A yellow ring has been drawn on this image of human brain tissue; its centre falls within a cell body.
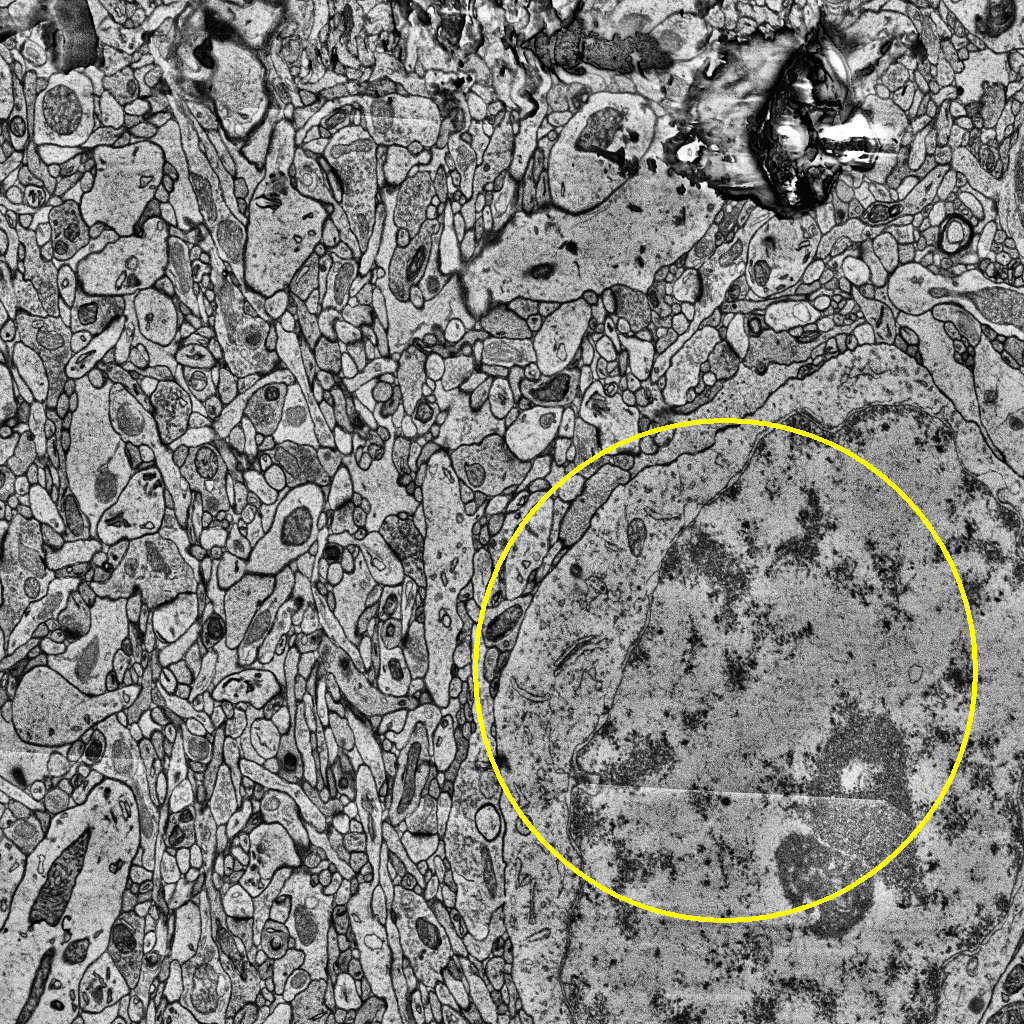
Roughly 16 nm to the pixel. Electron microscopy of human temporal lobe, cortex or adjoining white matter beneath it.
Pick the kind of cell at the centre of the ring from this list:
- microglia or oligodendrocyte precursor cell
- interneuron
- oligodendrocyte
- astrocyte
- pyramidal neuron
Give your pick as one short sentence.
The centre of the ring holds an interneuron.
